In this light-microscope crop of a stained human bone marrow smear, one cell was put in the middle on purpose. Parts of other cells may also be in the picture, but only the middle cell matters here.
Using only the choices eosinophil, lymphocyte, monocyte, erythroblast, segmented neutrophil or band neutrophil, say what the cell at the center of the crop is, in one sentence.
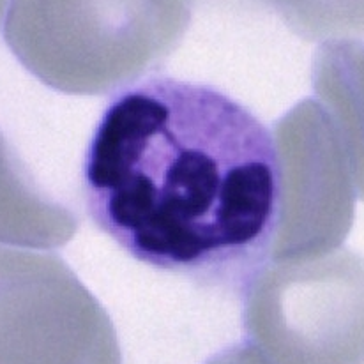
The cell at the heart of this crop is a segmented neutrophil.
